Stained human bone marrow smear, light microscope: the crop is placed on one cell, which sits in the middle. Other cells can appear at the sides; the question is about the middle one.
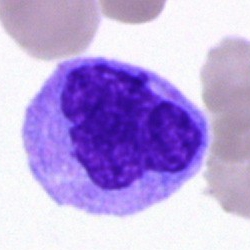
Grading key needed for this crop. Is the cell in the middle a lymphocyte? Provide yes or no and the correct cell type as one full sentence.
No, the centred cell is a monocyte instead of a lymphocyte.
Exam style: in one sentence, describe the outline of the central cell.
Smooth edges only, with no spikes, blebs, or other projections.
